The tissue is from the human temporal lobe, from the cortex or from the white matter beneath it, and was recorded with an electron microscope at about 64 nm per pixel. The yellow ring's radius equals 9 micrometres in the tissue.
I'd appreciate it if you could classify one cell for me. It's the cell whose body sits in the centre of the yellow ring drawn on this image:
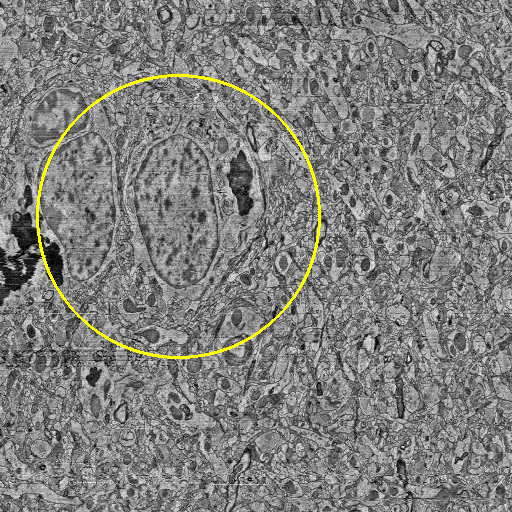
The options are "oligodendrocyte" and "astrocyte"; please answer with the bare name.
astrocyte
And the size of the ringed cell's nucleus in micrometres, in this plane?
At approximately 10 by 5 micrometres, the nucleus is clearly longer than it is wide in this plane.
